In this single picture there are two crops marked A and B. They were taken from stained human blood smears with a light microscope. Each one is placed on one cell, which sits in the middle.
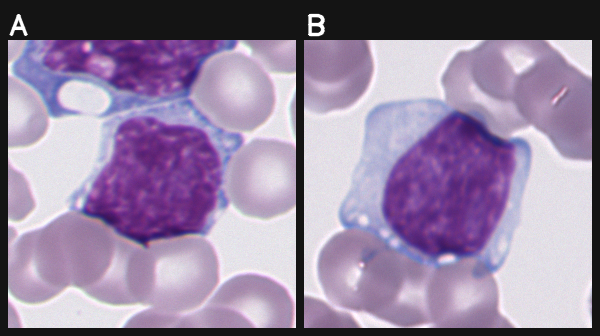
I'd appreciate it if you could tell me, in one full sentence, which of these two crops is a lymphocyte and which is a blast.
In crop B the central cell is a blast, and in crop A it is a lymphocyte.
